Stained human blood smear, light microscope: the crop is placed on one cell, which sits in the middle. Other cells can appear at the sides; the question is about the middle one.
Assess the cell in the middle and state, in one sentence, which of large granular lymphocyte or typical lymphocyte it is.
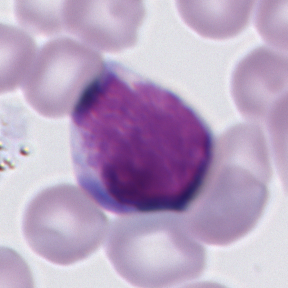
The central cell, amid any neighbouring cells, is a large granular lymphocyte.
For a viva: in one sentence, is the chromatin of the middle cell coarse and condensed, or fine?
The chromatin is fine throughout, without coarse clumps.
